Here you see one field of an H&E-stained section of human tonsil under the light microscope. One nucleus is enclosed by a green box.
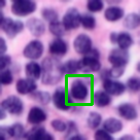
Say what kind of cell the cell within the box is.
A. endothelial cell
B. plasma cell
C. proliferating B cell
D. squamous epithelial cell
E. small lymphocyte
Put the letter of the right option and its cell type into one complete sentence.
Option E, identifying the cell within the box as a small lymphocyte, is correct.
